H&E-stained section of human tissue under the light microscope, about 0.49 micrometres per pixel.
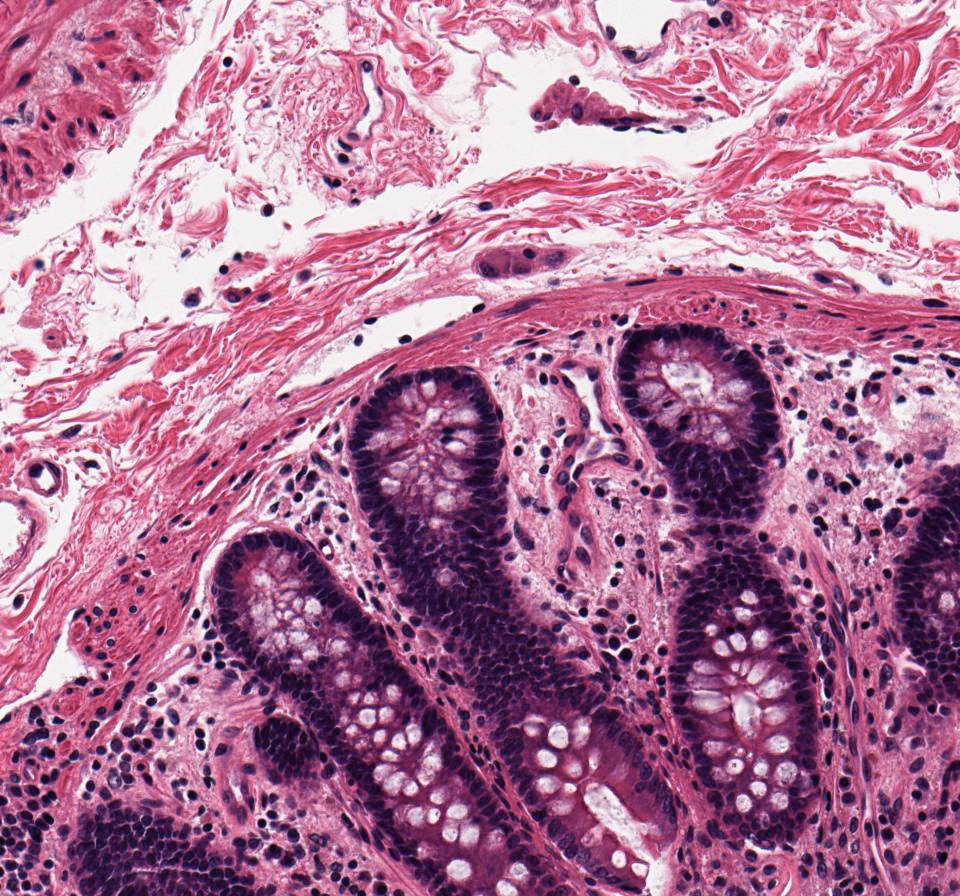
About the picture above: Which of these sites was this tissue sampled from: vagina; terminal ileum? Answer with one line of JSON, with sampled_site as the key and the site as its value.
{"sampled_site": "terminal ileum"}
